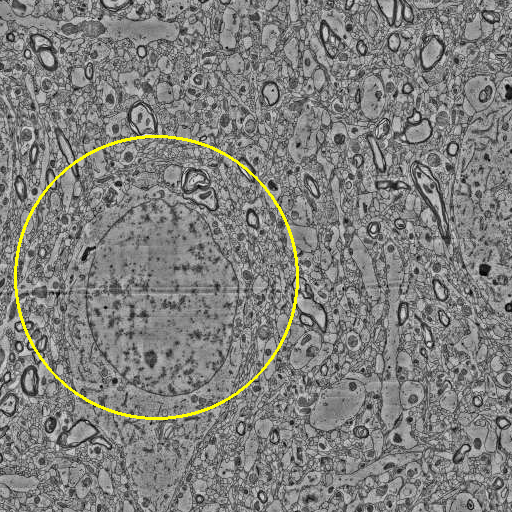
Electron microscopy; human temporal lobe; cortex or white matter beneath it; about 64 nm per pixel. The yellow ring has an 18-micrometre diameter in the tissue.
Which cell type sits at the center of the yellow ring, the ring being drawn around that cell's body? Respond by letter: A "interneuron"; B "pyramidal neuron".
B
